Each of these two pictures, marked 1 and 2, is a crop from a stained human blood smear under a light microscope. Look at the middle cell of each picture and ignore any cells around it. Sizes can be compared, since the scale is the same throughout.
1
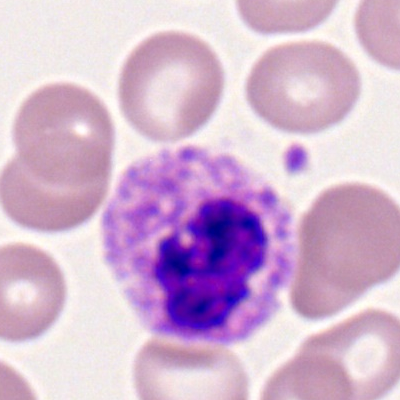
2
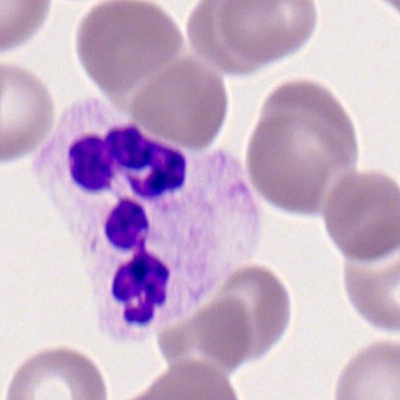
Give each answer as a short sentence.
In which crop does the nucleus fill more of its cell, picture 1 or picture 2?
Of the two, the nucleus in picture 2 makes up the greater part of its cell.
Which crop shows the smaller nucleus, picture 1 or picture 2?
Smaller is the nucleus in picture 2, and the other is about 2 times as large in area.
